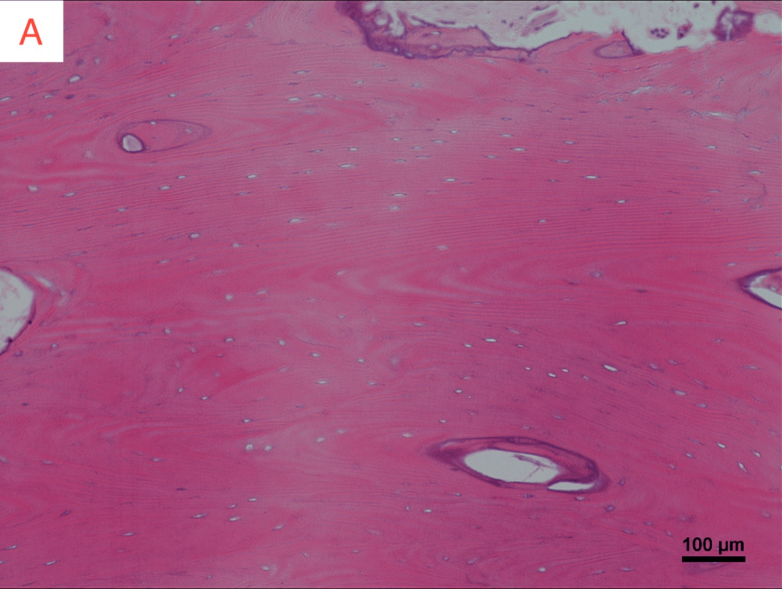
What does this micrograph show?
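Cortical bone with dense pink lamellar matrix. Fine lamellae run in parallel across the field, curving around a few vascular canals. Small elongated lacunae are scattered throughout, and most appear as empty white spaces with no dark-staining cell inside.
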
